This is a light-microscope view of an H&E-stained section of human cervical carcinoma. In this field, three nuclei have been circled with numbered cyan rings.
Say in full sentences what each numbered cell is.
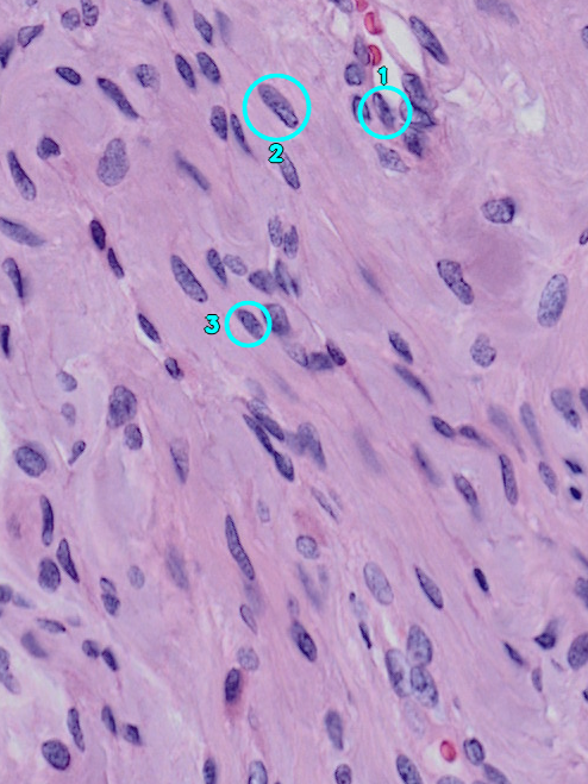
Cell 1 is an endothelial cell. Cells 2 and 3 are fibroblasts.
